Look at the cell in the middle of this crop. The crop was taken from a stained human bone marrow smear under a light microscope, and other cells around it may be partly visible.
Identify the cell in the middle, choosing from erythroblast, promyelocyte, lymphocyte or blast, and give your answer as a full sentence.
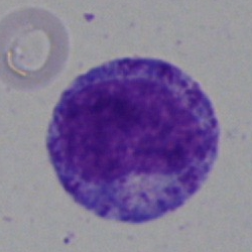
The cell marked by its central position in the crop is a promyelocyte.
